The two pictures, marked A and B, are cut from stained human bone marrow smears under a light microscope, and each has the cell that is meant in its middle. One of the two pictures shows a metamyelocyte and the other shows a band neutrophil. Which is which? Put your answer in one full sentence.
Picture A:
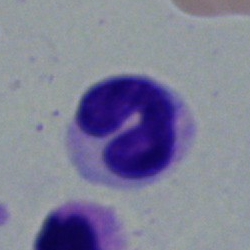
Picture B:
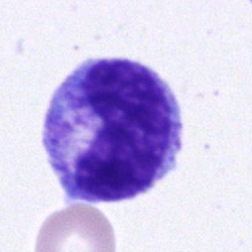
The cell in picture A is a band neutrophil, and the one in picture B is a metamyelocyte.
